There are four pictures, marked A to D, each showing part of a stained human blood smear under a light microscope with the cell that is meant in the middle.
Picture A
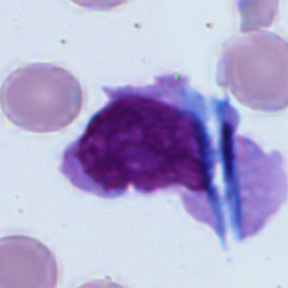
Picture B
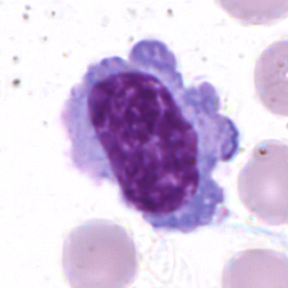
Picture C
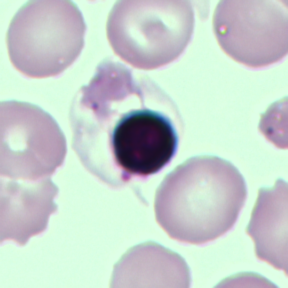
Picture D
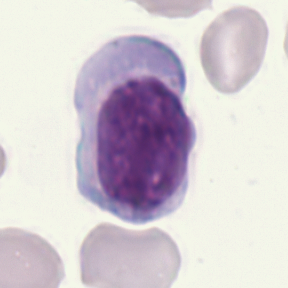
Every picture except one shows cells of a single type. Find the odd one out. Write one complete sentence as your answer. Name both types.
Picture C is the odd one out: it shows a normoblast, while the others show plasma cells.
